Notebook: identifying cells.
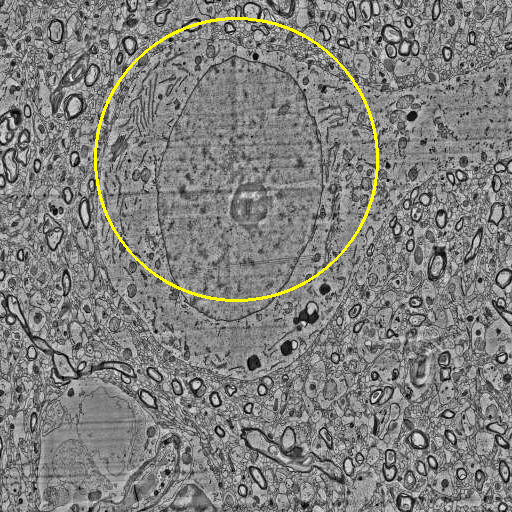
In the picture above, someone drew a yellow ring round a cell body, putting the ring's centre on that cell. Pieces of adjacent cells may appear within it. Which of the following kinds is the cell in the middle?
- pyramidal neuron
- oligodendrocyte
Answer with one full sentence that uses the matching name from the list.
In this picture, the yellow ring is centred on the body of a pyramidal neuron.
